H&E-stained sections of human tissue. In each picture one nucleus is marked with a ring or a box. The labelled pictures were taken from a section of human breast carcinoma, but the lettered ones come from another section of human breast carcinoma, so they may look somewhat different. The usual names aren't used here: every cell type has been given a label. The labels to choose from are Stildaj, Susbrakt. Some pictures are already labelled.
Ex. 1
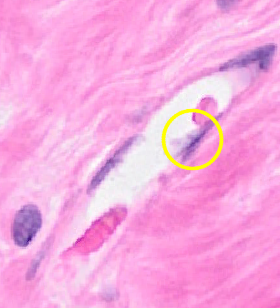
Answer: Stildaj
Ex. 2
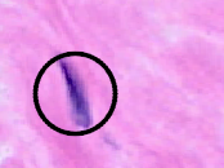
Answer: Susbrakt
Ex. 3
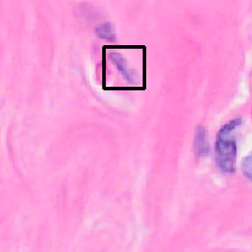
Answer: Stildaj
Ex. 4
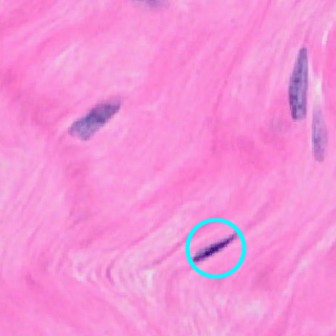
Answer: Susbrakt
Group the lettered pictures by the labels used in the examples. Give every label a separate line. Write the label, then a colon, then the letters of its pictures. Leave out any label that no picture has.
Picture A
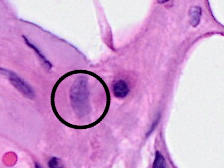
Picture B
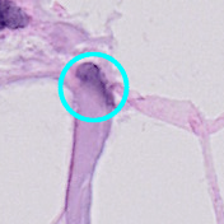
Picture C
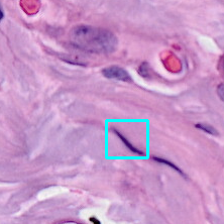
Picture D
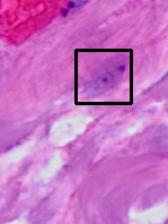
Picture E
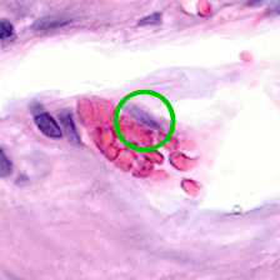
Stildaj: E
Susbrakt: A, B, C, D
